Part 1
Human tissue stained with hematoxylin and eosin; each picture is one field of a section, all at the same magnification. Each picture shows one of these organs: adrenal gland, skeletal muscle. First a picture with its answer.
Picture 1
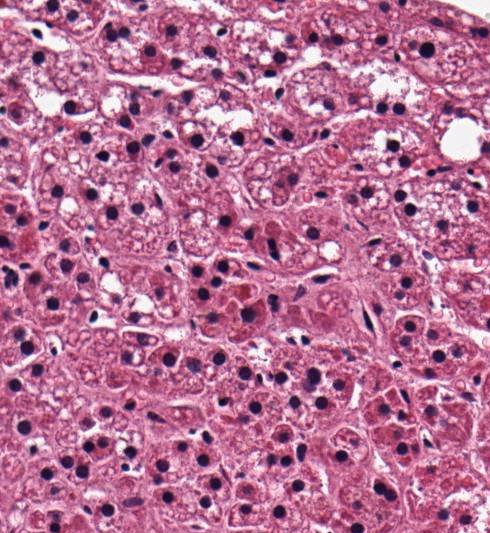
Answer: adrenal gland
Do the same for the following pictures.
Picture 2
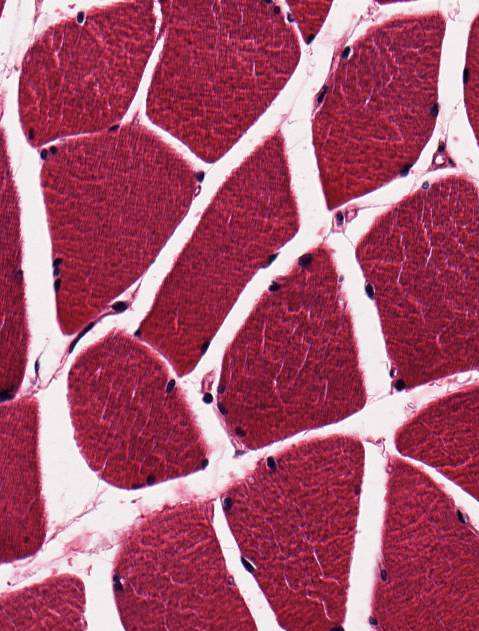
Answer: skeletal muscle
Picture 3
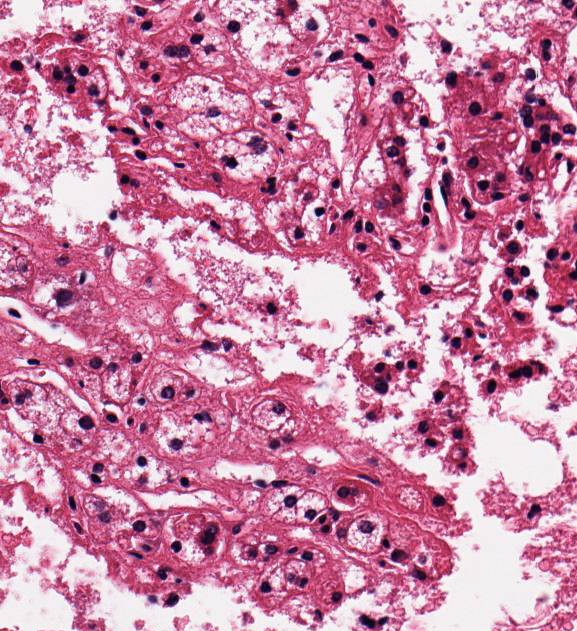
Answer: adrenal gland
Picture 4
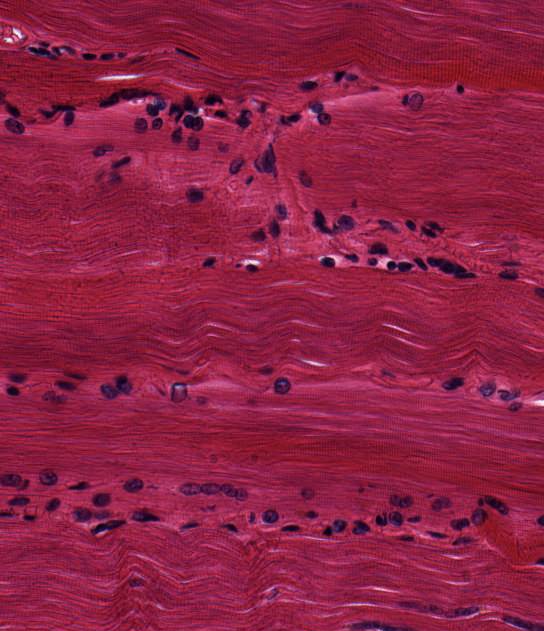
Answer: skeletal muscle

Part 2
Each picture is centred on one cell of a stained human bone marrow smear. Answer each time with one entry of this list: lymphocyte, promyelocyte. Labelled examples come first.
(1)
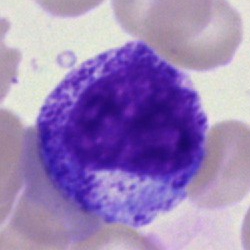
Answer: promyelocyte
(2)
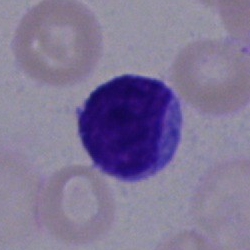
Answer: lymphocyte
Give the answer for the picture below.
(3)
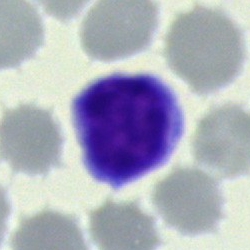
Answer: lymphocyte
